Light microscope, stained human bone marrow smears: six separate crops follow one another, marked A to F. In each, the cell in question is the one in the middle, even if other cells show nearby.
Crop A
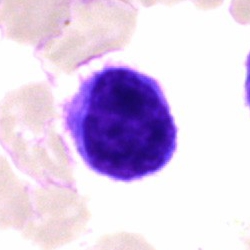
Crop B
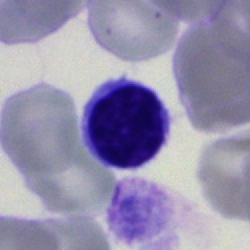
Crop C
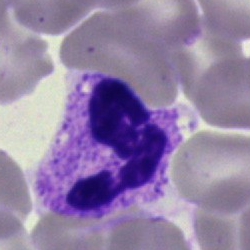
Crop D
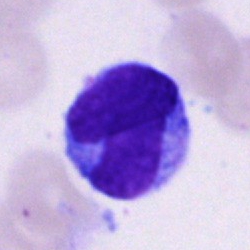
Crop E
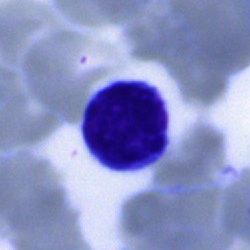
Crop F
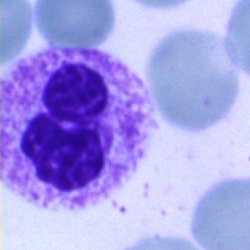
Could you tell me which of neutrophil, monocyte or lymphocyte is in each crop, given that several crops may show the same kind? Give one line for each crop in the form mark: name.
A: lymphocyte
B: lymphocyte
C: neutrophil
D: monocyte
E: lymphocyte
F: neutrophil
